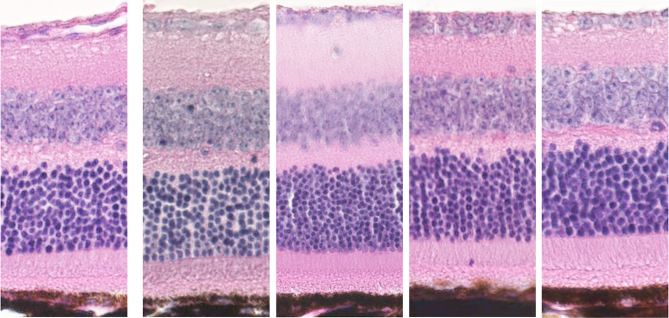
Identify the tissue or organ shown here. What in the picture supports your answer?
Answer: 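Retinae. Each strip shows alternating bands of densely packed purple nuclei and pale pink fibrous layers. A dark brown pigmented layer lies at the bottom of each strip.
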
